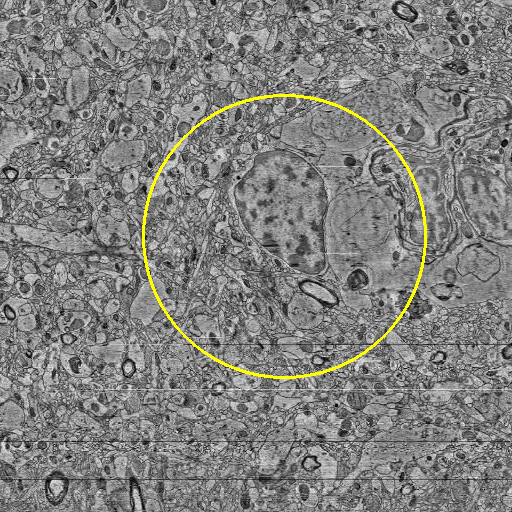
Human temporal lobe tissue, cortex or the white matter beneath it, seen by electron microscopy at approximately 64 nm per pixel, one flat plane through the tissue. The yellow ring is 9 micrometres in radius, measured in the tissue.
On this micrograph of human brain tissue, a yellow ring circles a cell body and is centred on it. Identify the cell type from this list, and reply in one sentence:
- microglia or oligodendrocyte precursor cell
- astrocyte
The cell at the centre is a microglial cell or oligodendrocyte precursor cell.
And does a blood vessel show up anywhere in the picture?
Yes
